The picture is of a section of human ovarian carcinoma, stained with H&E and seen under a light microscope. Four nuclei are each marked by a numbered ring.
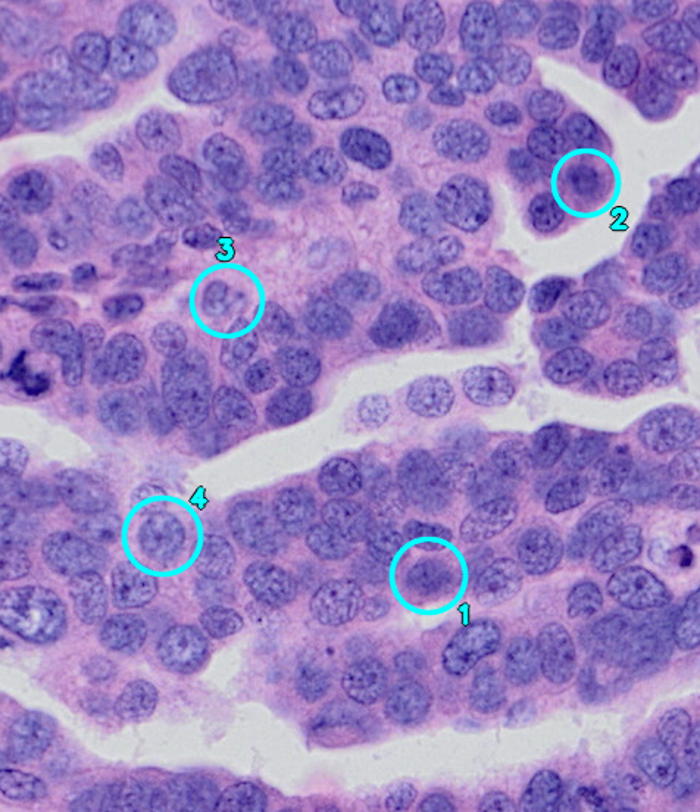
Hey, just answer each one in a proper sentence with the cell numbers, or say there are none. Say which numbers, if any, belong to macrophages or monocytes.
Of all the cells bearing numbers, cell 3 is the only one that is a macrophage or monocyte.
